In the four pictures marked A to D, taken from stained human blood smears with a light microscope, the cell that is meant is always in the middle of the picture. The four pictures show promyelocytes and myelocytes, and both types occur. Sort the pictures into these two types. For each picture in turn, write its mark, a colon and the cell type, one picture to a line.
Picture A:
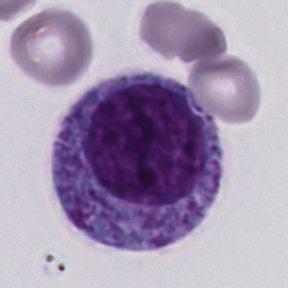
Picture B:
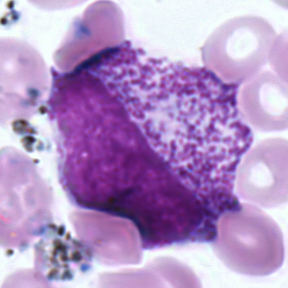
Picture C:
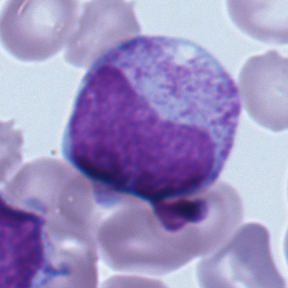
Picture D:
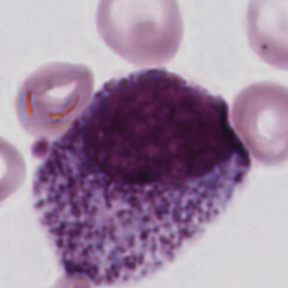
A: promyelocyte
B: promyelocyte
C: myelocyte
D: myelocyte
